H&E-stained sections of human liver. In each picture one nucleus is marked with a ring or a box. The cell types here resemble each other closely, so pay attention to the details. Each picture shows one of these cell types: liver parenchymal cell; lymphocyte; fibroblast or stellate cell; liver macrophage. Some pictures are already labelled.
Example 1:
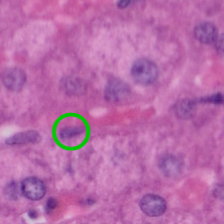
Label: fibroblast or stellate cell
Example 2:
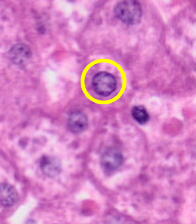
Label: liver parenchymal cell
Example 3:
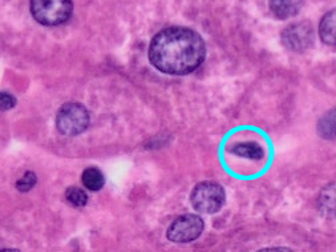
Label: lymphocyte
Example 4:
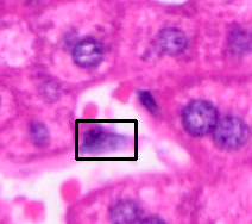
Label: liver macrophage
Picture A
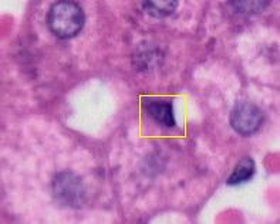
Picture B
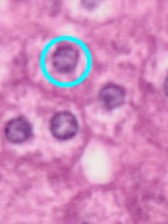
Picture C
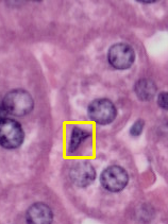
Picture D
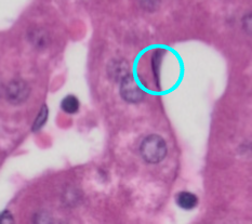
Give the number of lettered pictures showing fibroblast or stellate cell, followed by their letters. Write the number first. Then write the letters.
3, namely A, C, D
